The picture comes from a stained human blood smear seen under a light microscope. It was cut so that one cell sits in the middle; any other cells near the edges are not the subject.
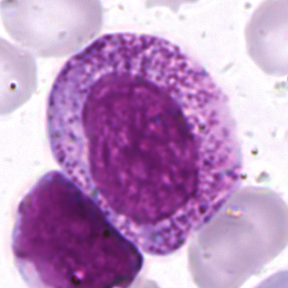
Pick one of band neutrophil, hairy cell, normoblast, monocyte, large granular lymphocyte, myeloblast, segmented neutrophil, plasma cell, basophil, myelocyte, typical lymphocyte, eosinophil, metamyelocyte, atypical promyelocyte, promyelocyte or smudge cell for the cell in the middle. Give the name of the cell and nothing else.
myelocyte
